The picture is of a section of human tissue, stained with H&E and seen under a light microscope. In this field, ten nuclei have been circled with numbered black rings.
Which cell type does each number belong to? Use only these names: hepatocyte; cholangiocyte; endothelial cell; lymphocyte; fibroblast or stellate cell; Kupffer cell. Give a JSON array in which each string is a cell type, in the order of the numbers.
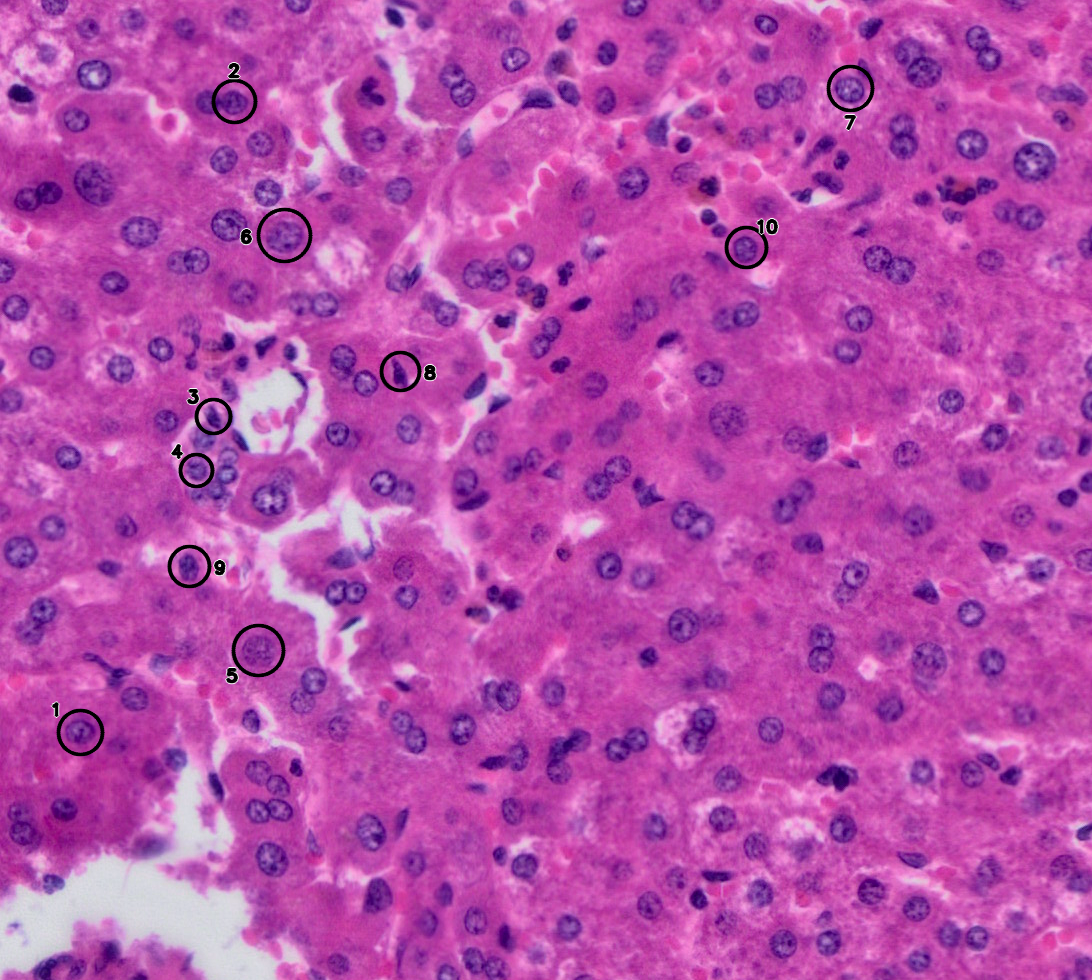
["hepatocyte", "hepatocyte", "fibroblast or stellate cell", "cholangiocyte", "hepatocyte", "hepatocyte", "hepatocyte", "fibroblast or stellate cell", "fibroblast or stellate cell", "hepatocyte"]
